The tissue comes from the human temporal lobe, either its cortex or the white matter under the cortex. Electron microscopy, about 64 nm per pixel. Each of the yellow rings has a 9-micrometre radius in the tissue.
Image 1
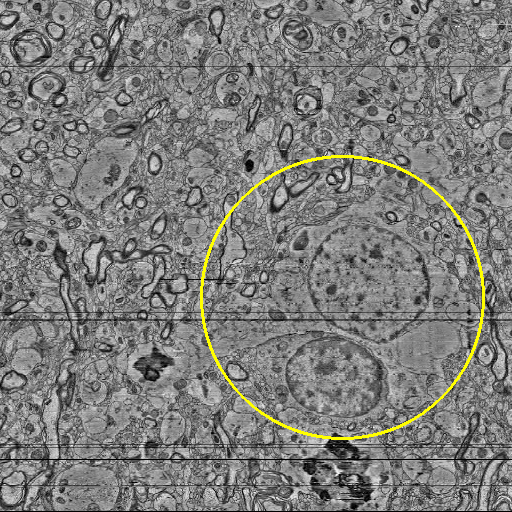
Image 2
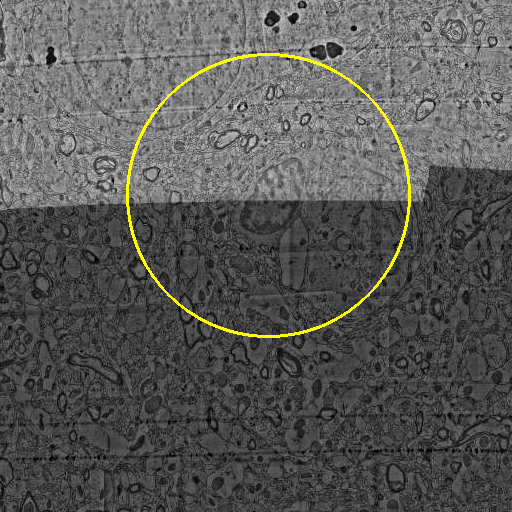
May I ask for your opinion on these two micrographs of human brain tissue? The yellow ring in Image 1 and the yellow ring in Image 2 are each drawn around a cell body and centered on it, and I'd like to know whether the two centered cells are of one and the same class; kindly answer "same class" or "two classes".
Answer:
two classes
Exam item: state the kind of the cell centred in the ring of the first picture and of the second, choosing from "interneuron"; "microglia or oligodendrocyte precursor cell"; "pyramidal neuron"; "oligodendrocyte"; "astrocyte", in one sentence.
The first picture shows an astrocyte at the ring centre and the second shows an oligodendrocyte.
